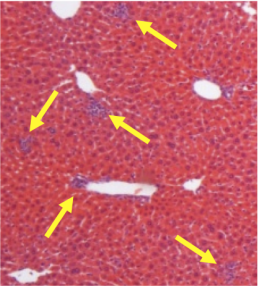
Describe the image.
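This is liver parenchyma made of cords of pink-staining hepatocytes with round purple nuclei, crossed by several white, empty vessel lumens. Scattered through it are several small, compact clusters of tightly packed, small dark purple nuclei, standing out against the pink hepatocytes. Several of these clusters lie along or close to the vessel walls, while others sit within the parenchyma between vessels.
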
